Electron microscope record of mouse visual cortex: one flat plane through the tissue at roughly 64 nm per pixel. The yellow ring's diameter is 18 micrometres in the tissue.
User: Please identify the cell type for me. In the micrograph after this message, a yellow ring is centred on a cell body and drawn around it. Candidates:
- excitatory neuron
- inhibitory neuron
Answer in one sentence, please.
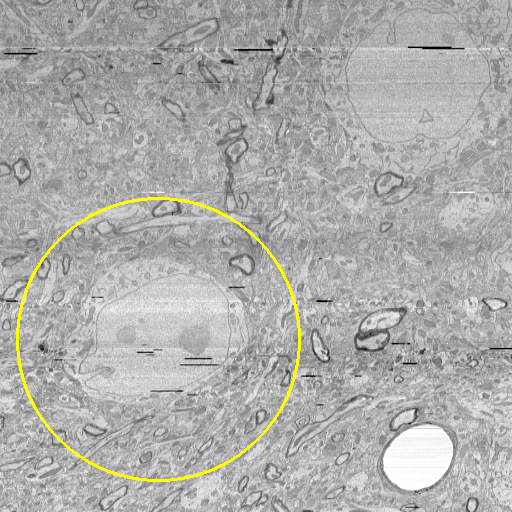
The ring is drawn around the cell body of an excitatory neuron.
